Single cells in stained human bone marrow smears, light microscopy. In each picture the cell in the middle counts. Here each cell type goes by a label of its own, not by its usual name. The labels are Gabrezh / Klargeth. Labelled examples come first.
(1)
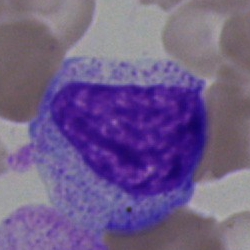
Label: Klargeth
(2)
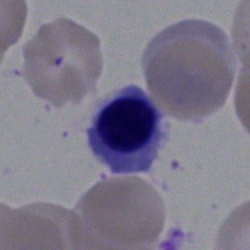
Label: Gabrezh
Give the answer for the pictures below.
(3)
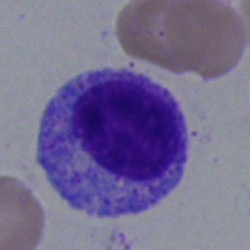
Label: Klargeth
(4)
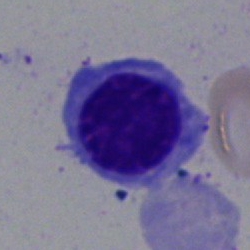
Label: Gabrezh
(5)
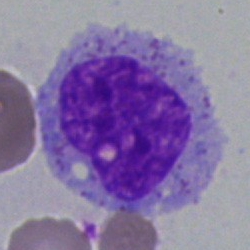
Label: Klargeth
